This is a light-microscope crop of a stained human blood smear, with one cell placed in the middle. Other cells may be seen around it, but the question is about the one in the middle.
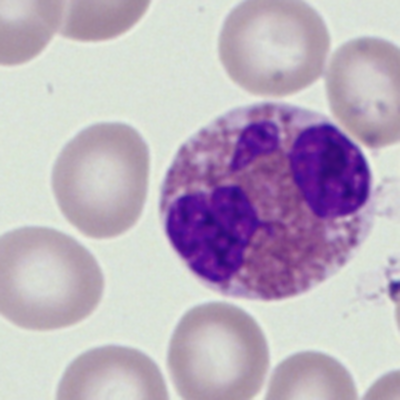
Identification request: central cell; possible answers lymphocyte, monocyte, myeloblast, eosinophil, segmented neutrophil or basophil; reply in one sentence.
The cell at the centre of the field is an eosinophil.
